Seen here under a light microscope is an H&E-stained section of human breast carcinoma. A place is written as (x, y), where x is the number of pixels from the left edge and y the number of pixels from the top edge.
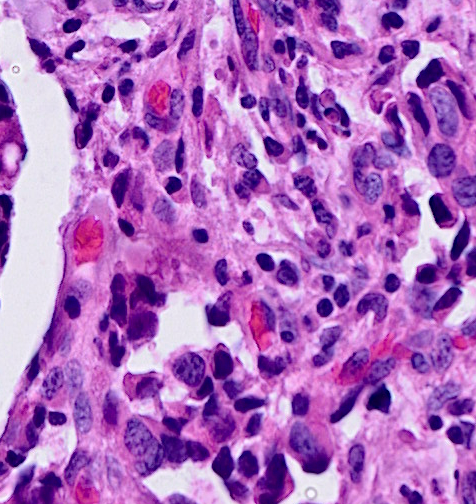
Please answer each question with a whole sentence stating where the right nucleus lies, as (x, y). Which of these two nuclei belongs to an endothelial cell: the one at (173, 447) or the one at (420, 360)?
The nucleus at (420, 360) belongs to an endothelial cell, which distinguishes it from the other nucleus.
